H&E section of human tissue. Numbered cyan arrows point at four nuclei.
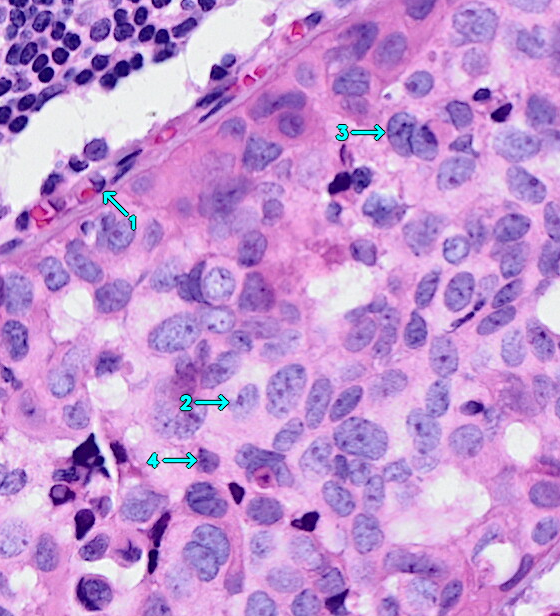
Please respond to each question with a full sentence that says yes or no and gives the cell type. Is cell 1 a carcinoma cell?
No, cell 1 represents an endothelial cell rather than a carcinoma cell.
